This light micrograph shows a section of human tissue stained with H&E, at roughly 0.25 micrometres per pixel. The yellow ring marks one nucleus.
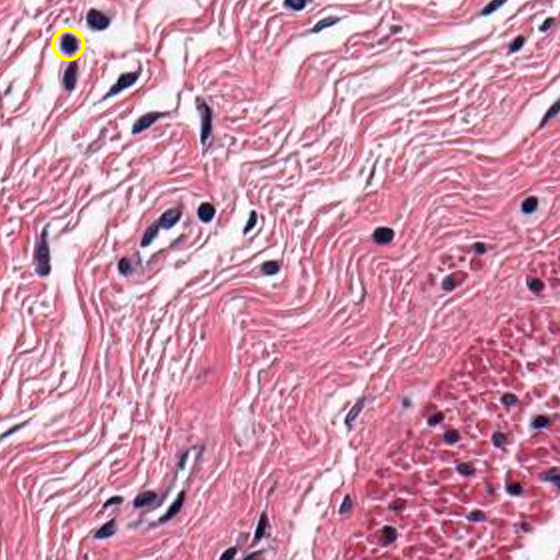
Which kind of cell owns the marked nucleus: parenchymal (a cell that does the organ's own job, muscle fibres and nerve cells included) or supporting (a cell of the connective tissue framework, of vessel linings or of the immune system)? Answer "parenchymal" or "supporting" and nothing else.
supporting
